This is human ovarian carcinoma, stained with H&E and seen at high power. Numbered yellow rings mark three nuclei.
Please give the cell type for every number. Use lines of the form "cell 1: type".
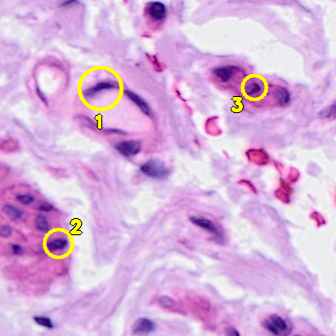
cell 1: endothelial cell
cell 2: smooth muscle cell
cell 3: smooth muscle cell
